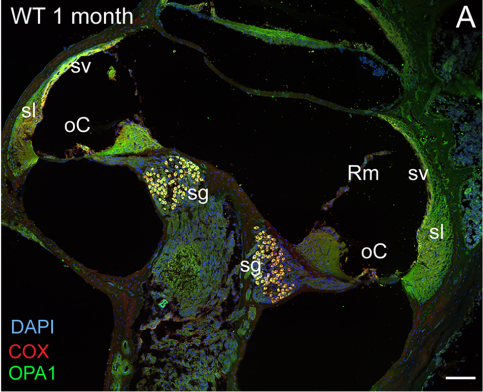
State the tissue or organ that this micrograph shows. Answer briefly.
Cochlea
